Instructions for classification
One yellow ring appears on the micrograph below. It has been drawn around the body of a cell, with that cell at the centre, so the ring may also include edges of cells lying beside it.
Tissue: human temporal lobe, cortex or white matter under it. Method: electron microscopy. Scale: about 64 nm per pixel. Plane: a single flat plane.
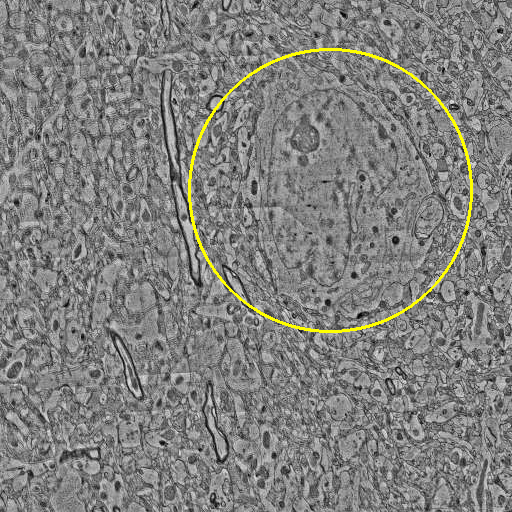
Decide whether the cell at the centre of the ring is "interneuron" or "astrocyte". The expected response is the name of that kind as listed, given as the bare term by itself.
interneuron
